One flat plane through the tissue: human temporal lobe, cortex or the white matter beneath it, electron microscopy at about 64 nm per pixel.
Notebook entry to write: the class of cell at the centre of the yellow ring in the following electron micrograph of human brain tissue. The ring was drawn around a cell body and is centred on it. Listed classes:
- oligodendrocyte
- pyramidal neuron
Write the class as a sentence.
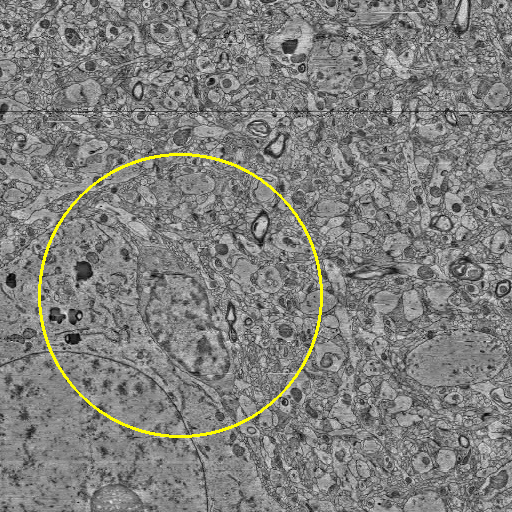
The yellow ring sits on an oligodendrocyte.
